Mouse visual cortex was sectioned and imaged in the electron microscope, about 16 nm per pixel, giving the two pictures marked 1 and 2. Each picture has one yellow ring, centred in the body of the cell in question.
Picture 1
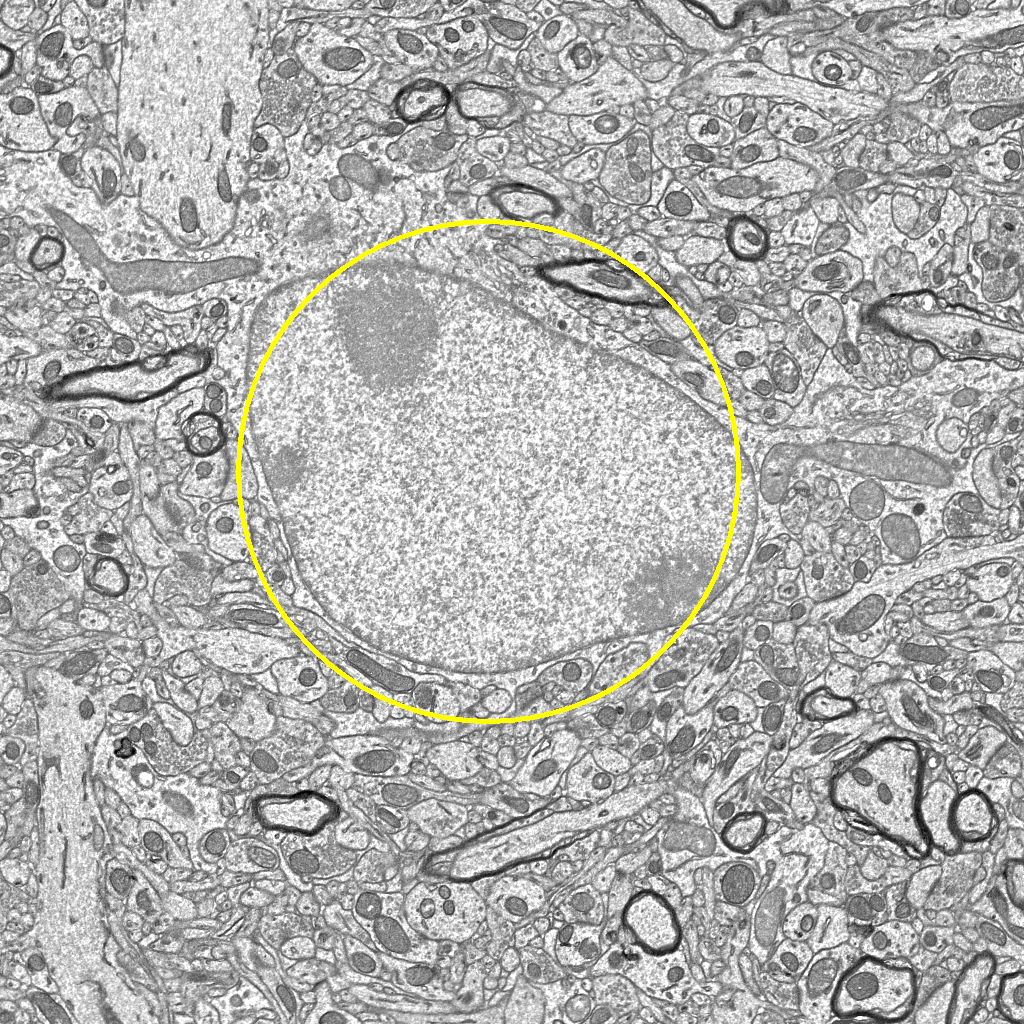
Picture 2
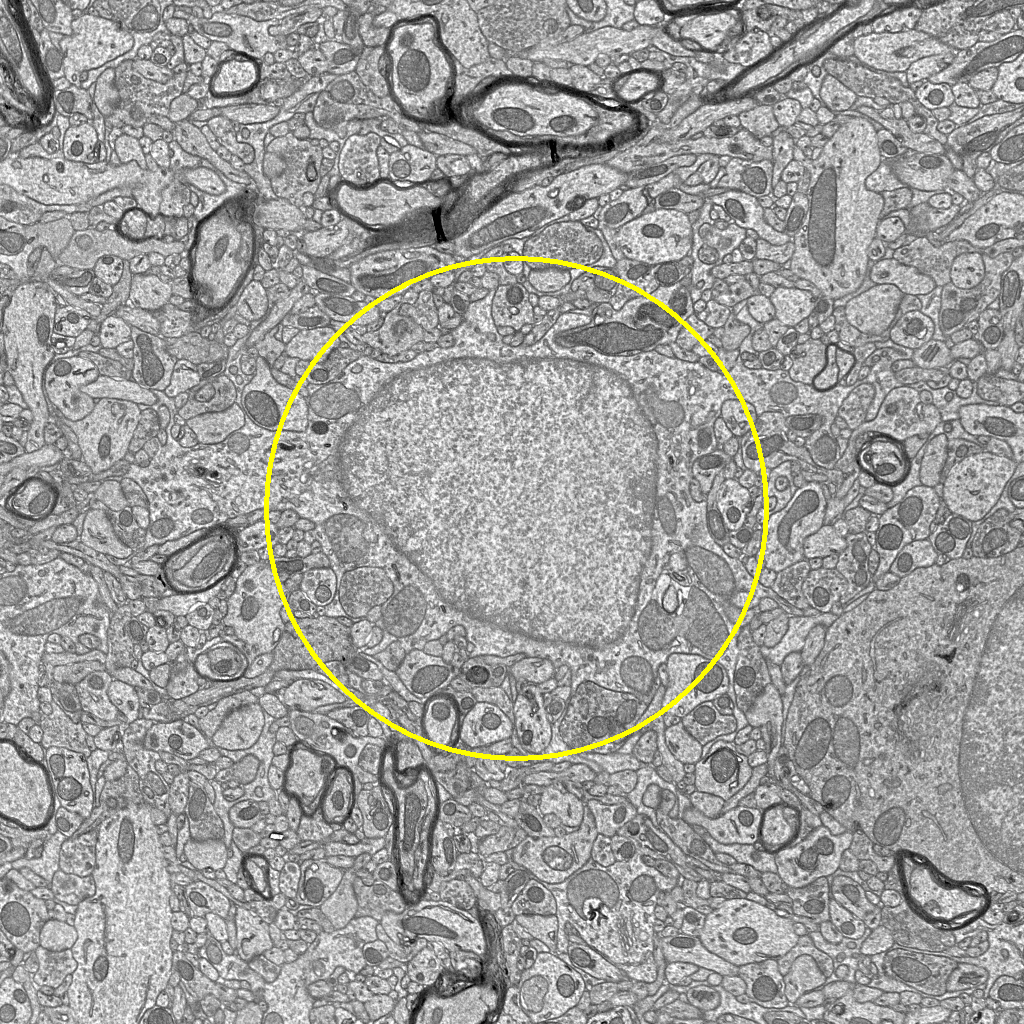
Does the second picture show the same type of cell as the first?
Yes, both are astrocytes.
